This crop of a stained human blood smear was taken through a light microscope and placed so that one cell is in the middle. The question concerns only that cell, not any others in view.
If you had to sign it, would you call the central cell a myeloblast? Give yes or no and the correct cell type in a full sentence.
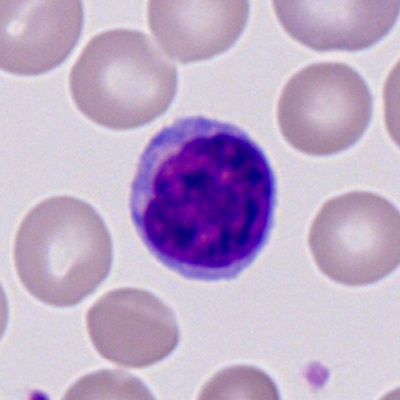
No, it is not a myeloblast that sits at the centre but a lymphocyte.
